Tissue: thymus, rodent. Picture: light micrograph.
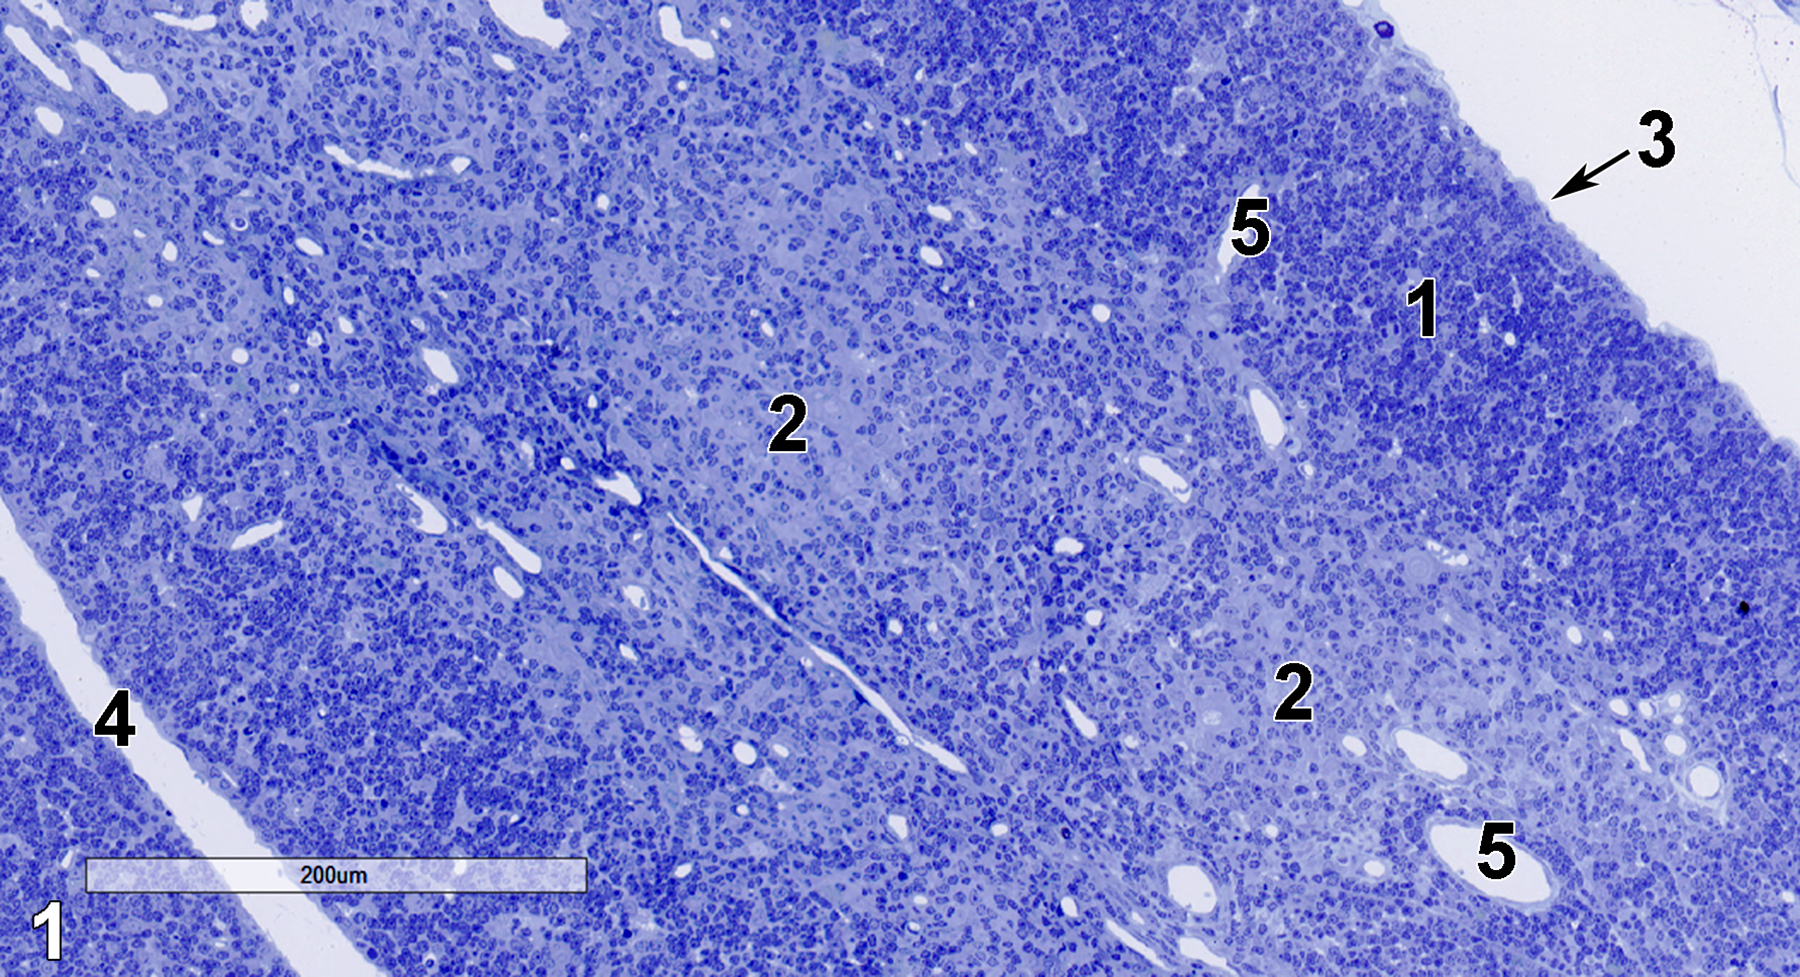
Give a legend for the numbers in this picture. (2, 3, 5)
2: medullary region
3: capsule
5: blood vessels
